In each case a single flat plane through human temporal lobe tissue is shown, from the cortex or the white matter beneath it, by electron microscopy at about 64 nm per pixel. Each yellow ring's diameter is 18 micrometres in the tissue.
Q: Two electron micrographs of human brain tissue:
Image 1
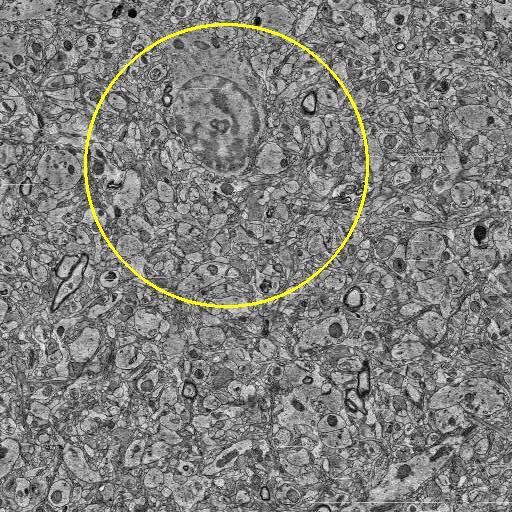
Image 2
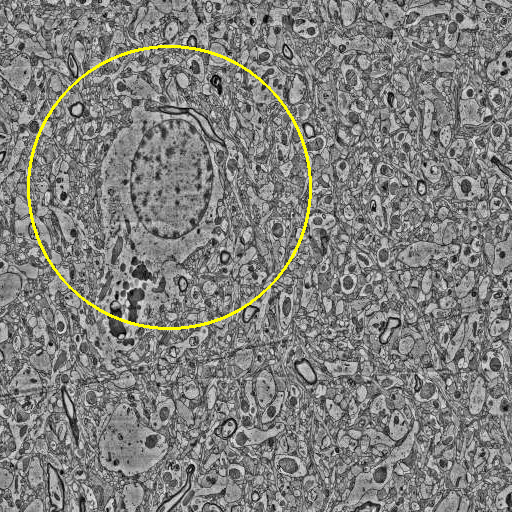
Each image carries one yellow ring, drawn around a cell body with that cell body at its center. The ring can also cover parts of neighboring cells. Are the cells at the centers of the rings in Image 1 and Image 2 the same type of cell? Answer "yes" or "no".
no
